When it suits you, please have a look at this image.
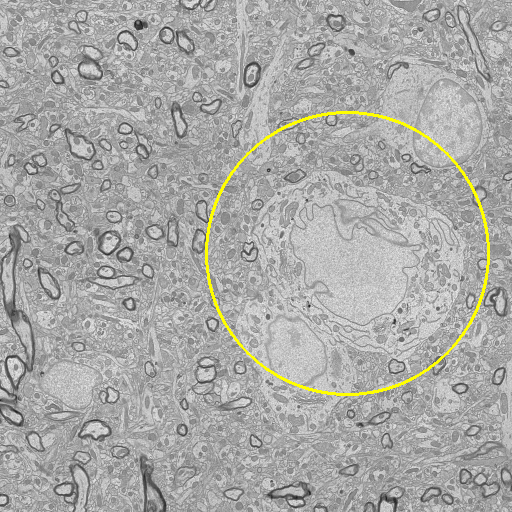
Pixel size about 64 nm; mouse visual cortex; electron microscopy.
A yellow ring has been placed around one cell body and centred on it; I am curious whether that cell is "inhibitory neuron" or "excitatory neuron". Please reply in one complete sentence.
The ringed cell, an inhibitory neuron, has its body at the centre of the yellow ring.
